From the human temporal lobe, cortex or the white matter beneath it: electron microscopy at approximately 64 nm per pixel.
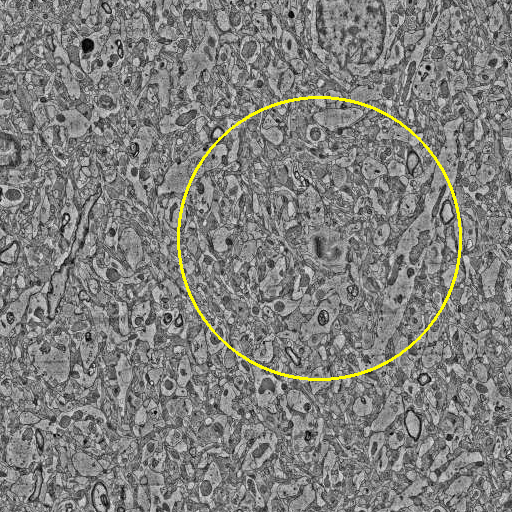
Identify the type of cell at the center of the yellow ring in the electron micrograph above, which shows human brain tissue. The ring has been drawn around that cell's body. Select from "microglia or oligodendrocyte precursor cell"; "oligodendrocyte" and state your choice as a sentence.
The yellow ring is centered on the body of an oligodendrocyte.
